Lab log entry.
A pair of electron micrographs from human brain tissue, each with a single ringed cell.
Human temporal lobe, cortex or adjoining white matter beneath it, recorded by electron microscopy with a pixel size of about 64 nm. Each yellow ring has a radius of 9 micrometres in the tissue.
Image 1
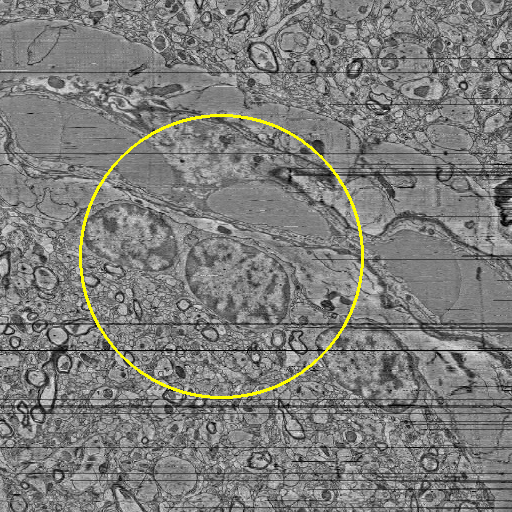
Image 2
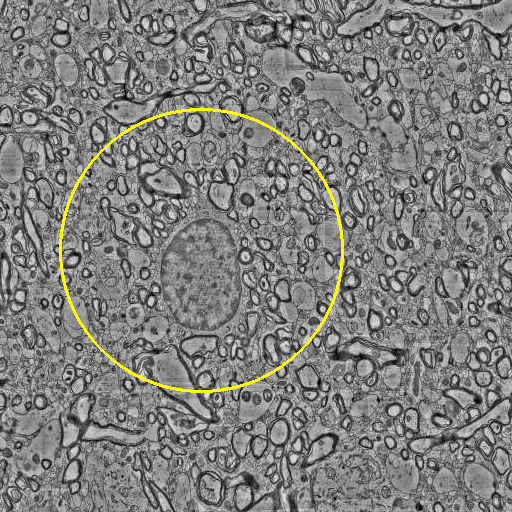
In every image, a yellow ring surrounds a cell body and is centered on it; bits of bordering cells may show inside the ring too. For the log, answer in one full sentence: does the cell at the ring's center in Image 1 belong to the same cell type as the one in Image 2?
Yes, the cells at the ring centers in Image 1 and Image 2 share one type.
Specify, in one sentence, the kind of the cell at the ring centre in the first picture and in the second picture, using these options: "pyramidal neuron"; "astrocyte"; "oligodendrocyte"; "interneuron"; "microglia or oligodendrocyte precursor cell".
The first and the second cell are each an oligodendrocyte.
